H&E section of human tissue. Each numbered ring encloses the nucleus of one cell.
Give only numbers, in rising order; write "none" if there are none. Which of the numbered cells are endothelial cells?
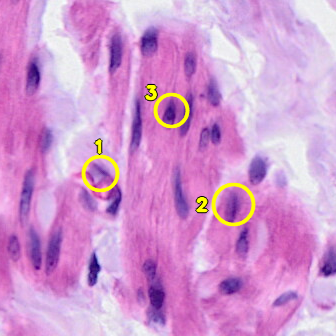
1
